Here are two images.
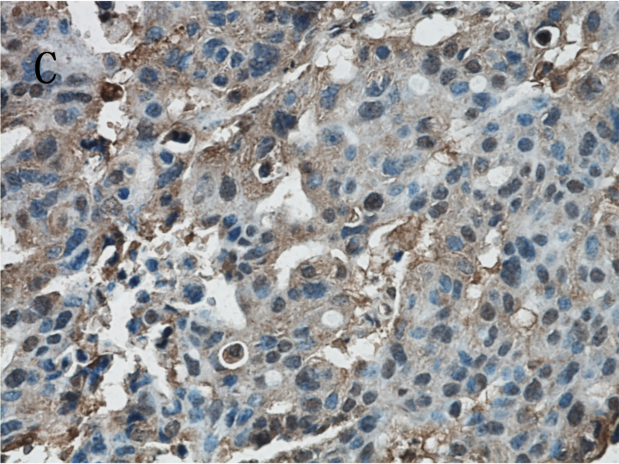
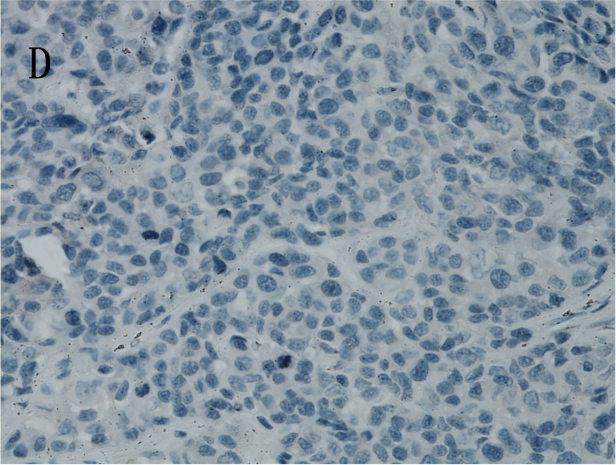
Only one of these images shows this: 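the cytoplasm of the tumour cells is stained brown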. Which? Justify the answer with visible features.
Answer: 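First image: much of the cytoplasm between the blue nuclei is a granular brown, darkest along the edges of clefts.
Answer: the first image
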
